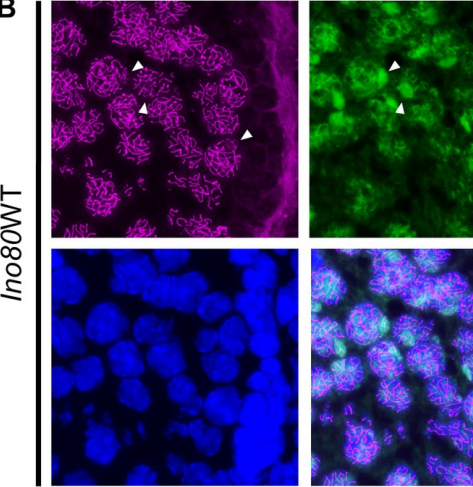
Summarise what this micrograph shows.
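This section shows part of a seminiferous tubule, with many closely packed round spermatocyte nuclei filling the field. Most nuclei contain tangled, thread-like magenta axes of meiotic chromosomes. In the green view each of many nuclei holds one compact bright patch, some of them marked by arrowheads, against a fainter green over the rest of the nucleus.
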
